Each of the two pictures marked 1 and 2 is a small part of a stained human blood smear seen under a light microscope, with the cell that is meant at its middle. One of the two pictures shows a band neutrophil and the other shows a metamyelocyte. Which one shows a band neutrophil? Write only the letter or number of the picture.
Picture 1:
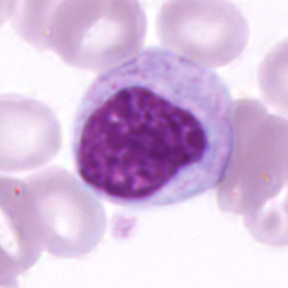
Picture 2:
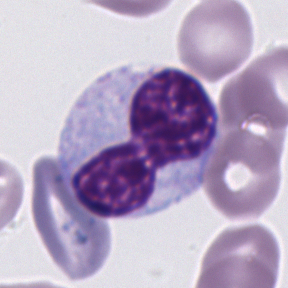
2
